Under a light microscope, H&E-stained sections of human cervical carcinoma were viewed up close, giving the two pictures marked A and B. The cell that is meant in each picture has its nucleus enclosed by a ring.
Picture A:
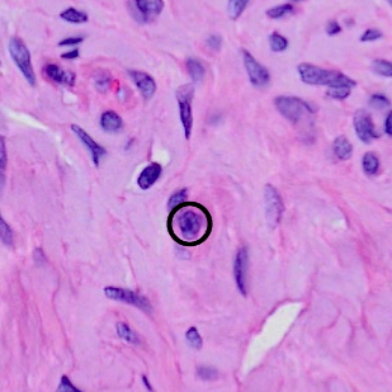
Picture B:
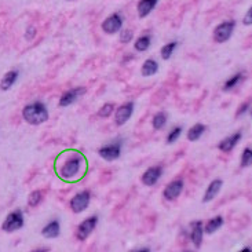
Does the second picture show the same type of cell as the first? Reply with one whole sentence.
No. Picture A shows an endothelial cell, but picture B shows a smooth muscle cell.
